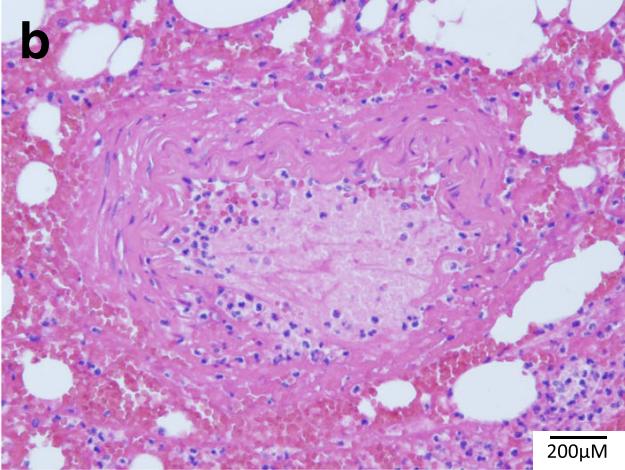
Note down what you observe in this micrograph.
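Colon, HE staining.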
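The vessel wall forms a thick ring of pink, wavy, concentric layers with elongated spindle-shaped nuclei. The lumen is not open but filled with pale pink, amorphous, finely fibrillar material. Numerous small, dark, round to lobed nuclei of inflammatory cells gather at the inner edge of the wall and scatter through the lumen. Around the vessel the tissue is crowded with red blood cells lying outside vessels, and round clear spaces of fat cells are spread through the surroundings.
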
